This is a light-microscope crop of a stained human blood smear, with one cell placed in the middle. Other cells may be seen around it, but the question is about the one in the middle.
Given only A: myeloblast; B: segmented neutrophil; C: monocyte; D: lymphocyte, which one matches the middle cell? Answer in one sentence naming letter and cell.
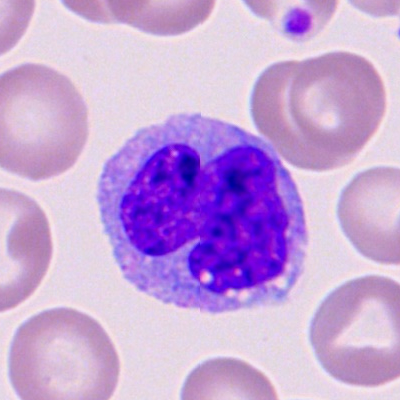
Option C is correct in that the central cell is a monocyte.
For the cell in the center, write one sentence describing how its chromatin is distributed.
The chromatin is fine; coarse clumps are not a feature here.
